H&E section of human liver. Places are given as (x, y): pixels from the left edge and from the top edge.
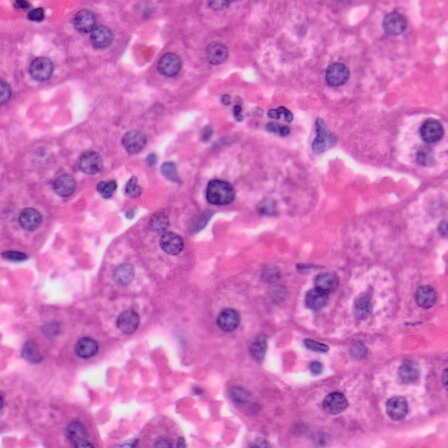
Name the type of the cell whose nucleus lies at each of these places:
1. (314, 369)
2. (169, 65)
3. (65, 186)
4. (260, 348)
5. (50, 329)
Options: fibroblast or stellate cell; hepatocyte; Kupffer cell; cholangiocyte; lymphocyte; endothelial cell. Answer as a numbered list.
1. lymphocyte
2. hepatocyte
3. hepatocyte
4. endothelial cell
5. hepatocyte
